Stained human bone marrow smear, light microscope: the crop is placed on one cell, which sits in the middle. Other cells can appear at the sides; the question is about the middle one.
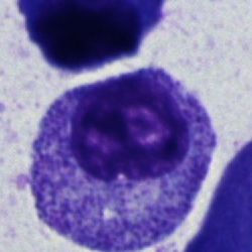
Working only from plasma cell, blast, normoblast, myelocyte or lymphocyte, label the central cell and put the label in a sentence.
The cell in the middle of the field of view is a myelocyte.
